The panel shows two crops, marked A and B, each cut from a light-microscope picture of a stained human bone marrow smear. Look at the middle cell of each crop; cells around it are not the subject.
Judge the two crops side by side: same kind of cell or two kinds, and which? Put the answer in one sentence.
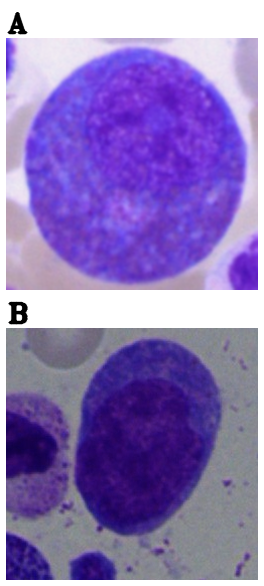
No, crop A captures an eosinophil, and crop B captures a promyelocyte.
